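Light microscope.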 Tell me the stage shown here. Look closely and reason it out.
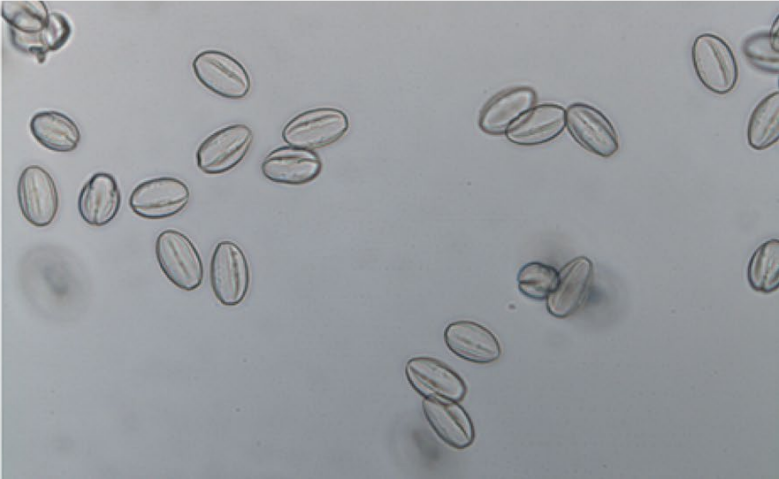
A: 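The grains are elongated and oval rather than round. A long furrow runs lengthwise along the middle of each grain. The answer: dry.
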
